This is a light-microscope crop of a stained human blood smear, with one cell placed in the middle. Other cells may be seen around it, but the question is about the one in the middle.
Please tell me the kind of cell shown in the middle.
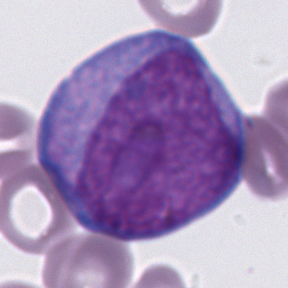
promyelocyte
